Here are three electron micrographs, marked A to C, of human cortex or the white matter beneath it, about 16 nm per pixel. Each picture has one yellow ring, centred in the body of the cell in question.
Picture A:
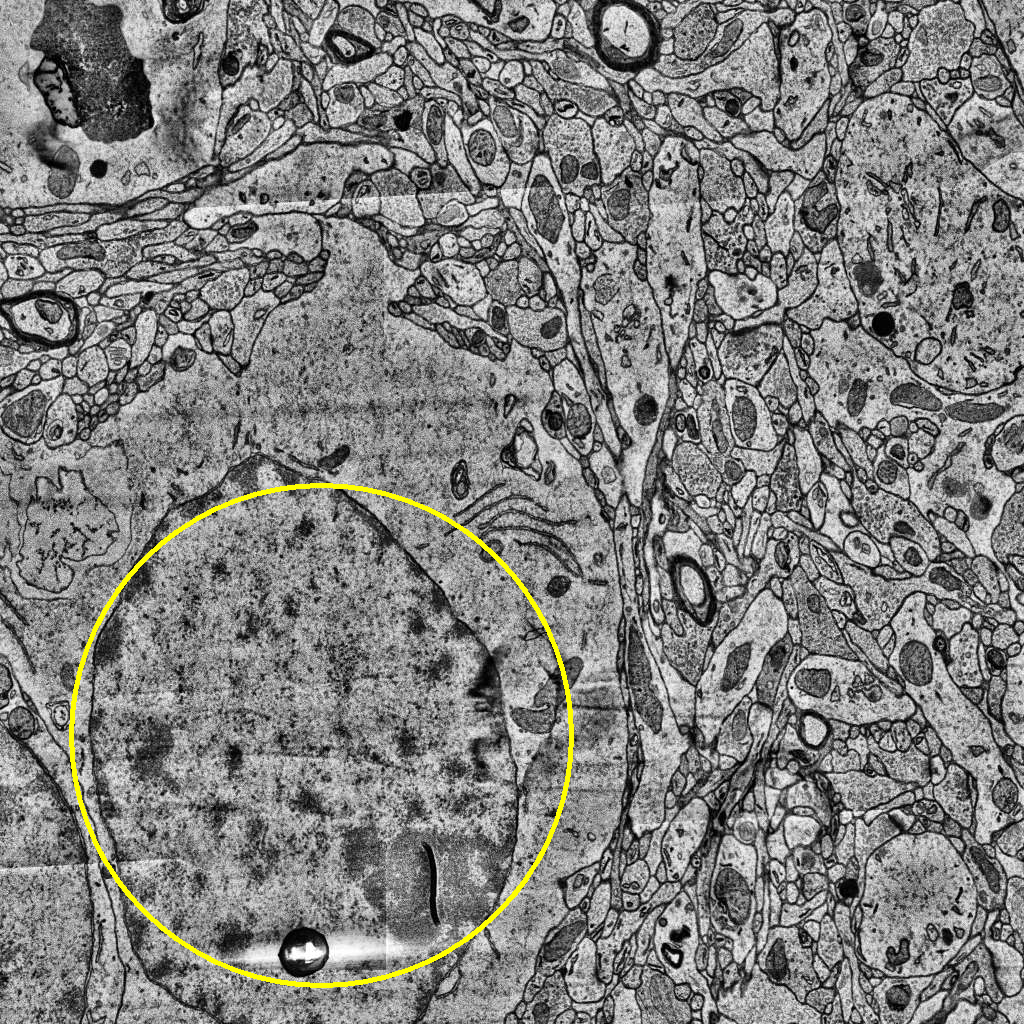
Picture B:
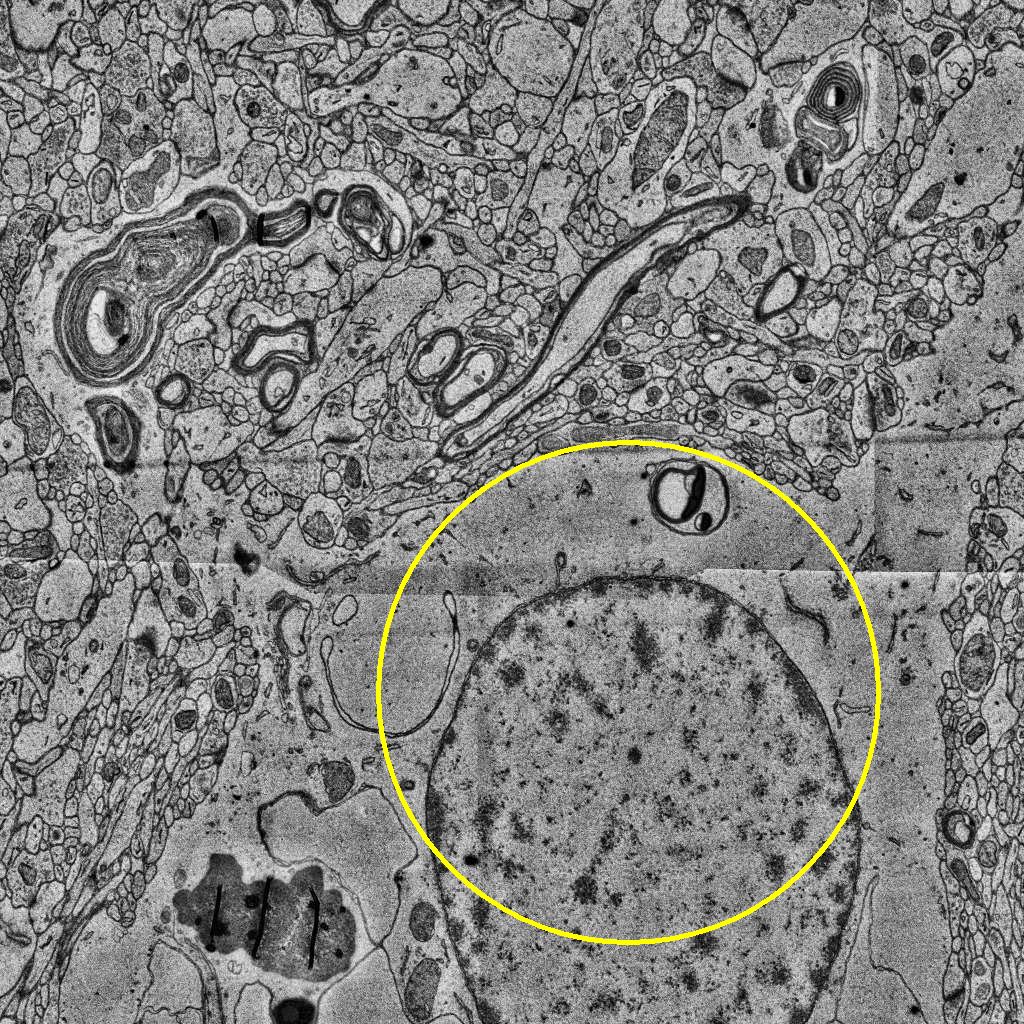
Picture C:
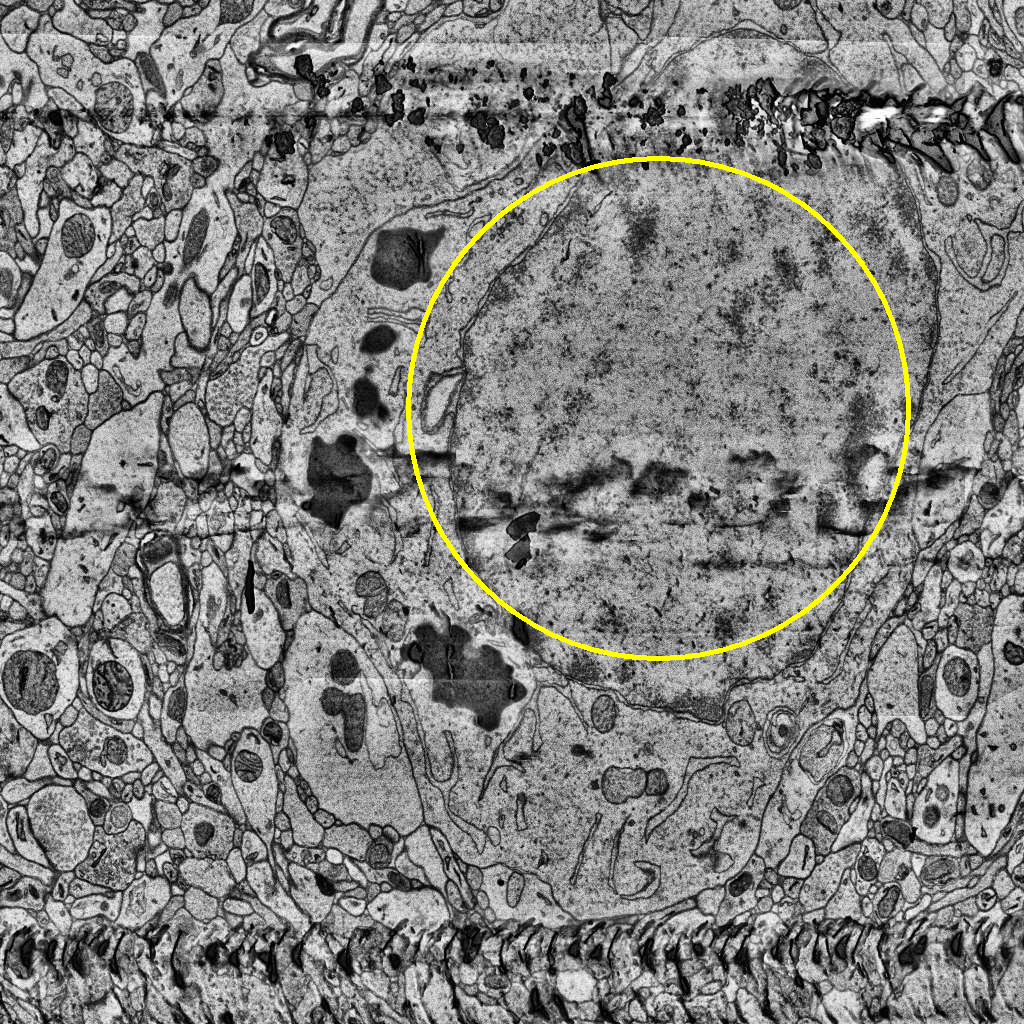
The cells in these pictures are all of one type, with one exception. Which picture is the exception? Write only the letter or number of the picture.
C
